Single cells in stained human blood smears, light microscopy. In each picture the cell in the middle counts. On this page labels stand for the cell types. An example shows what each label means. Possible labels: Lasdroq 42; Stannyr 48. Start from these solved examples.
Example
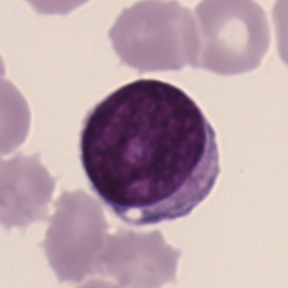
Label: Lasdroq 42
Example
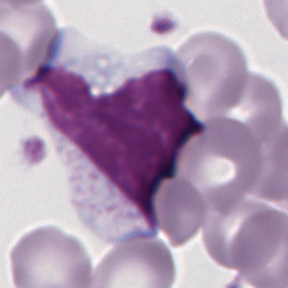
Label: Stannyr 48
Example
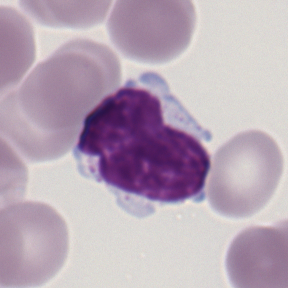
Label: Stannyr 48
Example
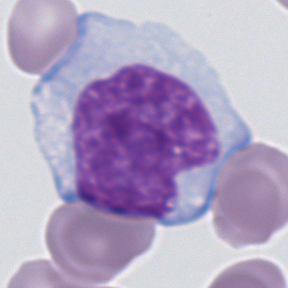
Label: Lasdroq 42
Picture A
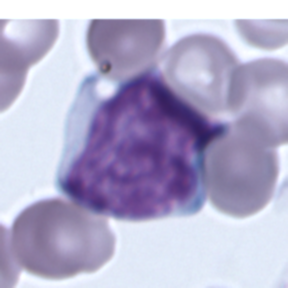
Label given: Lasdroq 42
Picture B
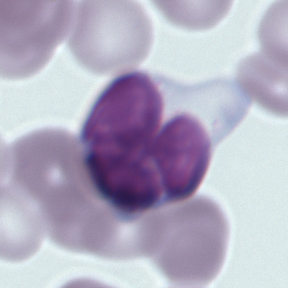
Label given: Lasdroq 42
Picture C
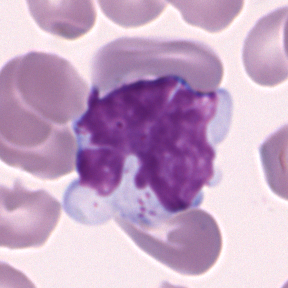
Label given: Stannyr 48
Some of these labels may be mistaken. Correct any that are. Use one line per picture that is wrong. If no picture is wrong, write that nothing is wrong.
B should be Stannyr 48, not Lasdroq 42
